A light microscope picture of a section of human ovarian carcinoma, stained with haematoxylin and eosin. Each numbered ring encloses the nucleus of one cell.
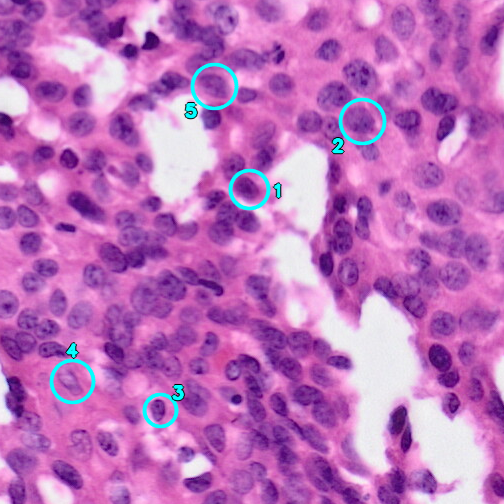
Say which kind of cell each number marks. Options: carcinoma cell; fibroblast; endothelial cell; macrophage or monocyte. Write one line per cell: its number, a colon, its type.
1: carcinoma cell
2: carcinoma cell
3: macrophage or monocyte
4: endothelial cell
5: carcinoma cell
